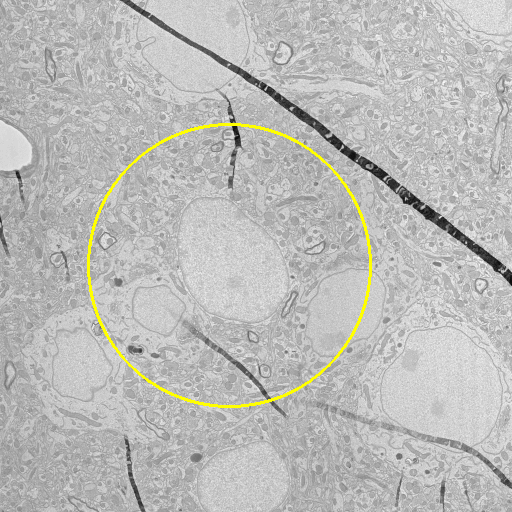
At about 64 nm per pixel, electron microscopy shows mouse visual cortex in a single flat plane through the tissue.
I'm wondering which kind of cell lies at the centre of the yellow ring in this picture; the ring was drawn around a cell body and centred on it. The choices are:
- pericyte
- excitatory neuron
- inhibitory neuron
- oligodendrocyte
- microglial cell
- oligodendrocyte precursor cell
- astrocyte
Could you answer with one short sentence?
At the centre of the ring lies an astrocyte.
